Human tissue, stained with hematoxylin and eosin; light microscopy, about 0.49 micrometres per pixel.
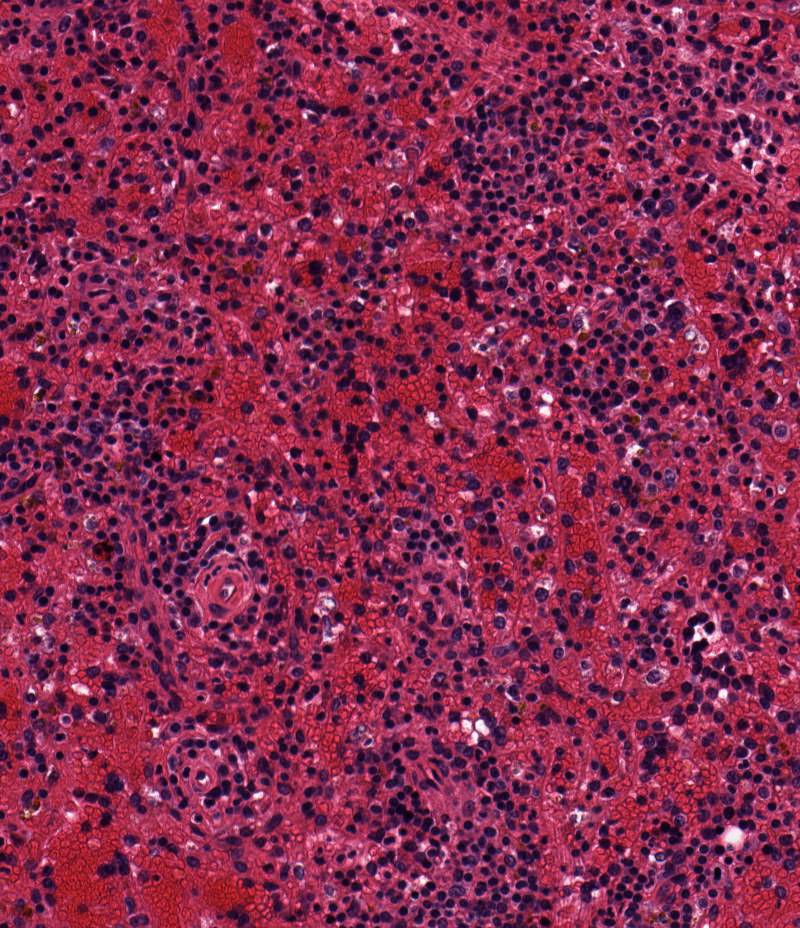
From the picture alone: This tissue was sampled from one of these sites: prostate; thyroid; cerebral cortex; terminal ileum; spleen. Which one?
spleen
